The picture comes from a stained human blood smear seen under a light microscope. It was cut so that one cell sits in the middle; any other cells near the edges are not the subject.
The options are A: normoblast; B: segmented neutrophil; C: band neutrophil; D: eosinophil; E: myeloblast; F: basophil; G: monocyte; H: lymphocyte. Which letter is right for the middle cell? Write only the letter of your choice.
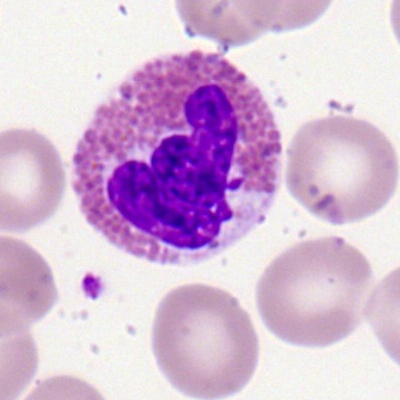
D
